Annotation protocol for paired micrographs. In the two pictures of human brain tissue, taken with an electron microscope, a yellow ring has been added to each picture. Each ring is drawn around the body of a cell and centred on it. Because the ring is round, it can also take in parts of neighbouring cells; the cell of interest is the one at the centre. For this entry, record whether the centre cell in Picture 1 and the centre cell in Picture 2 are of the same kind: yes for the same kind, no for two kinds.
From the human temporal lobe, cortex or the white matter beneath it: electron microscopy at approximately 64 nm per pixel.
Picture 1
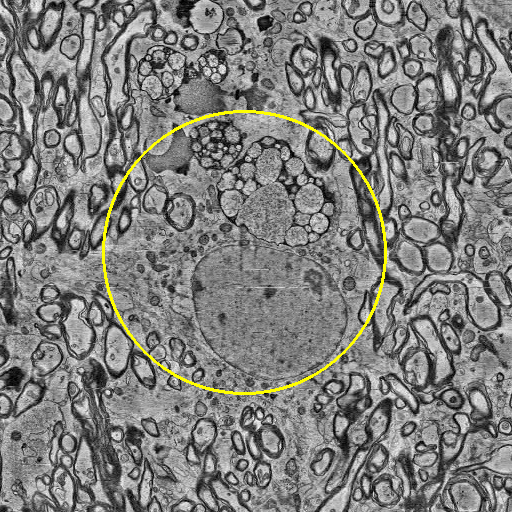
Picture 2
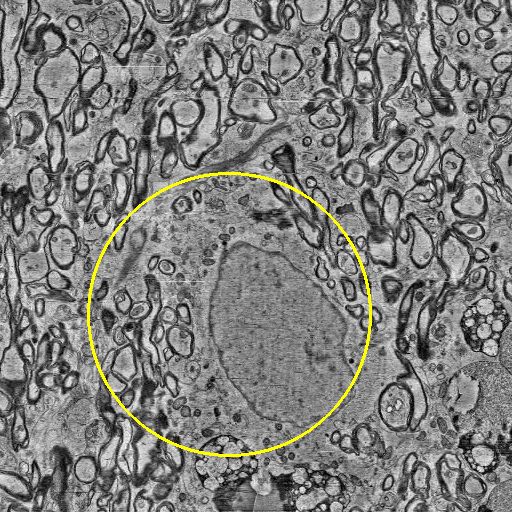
yes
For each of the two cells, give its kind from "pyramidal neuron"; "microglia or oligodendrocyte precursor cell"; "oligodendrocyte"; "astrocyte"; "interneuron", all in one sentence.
Both rings mark an astrocyte, one in each picture.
